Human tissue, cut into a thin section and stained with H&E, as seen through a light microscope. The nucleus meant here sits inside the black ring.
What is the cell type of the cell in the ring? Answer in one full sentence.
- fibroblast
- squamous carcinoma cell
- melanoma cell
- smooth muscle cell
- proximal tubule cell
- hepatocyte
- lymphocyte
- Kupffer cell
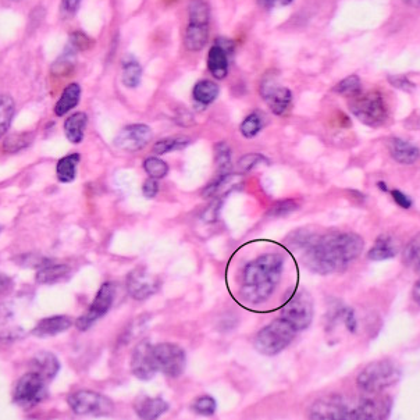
The expected answer is simply that the cell in the ring is a melanoma cell.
